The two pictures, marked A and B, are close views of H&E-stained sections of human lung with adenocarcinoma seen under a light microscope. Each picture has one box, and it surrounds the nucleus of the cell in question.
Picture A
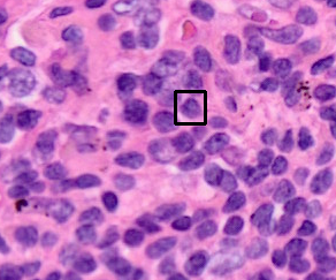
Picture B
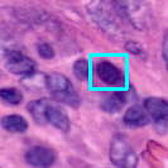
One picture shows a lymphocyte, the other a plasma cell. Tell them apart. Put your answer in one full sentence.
Picture A is of a lymphocyte, and picture B is of a plasma cell.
